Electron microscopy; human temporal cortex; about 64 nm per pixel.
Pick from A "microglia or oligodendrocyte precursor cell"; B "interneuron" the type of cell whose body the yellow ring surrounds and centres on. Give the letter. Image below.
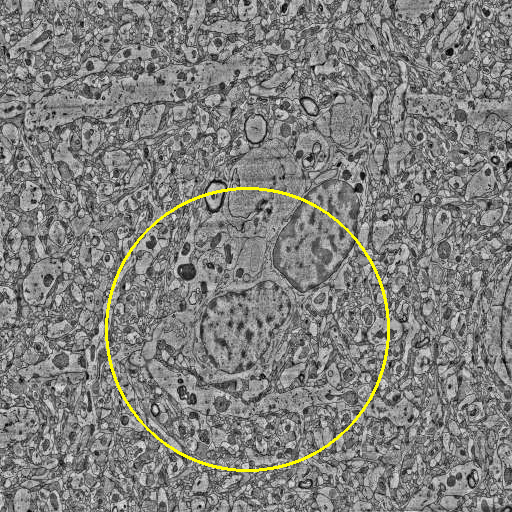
A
